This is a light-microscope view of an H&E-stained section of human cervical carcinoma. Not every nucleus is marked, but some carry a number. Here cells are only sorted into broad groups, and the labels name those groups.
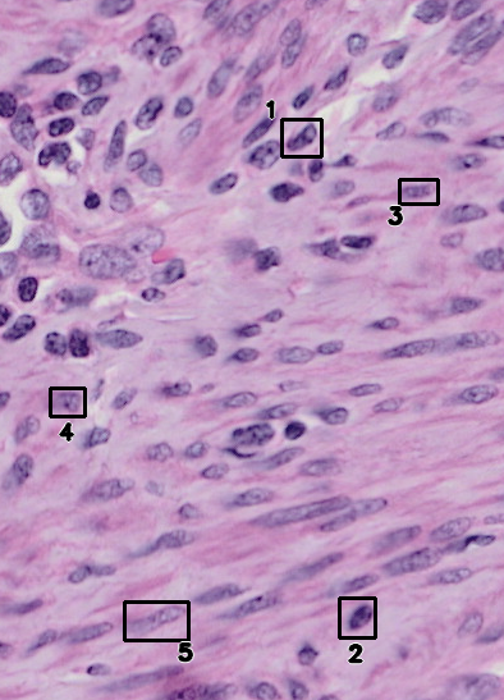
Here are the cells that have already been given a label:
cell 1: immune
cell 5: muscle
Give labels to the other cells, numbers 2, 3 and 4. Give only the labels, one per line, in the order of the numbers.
immune
muscle
muscle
